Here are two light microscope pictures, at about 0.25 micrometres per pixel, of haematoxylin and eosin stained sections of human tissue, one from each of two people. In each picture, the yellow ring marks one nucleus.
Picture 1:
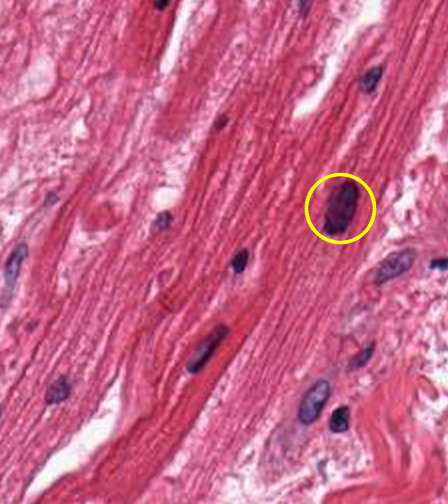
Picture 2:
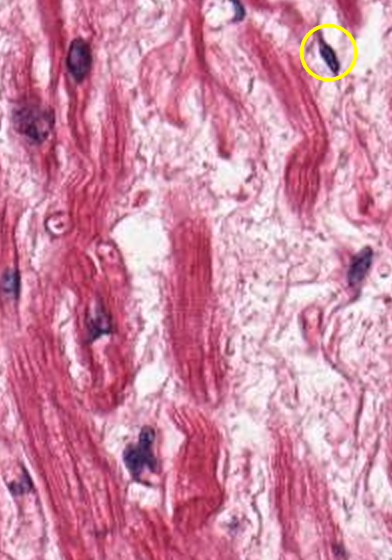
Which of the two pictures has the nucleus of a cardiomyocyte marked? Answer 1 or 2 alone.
1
